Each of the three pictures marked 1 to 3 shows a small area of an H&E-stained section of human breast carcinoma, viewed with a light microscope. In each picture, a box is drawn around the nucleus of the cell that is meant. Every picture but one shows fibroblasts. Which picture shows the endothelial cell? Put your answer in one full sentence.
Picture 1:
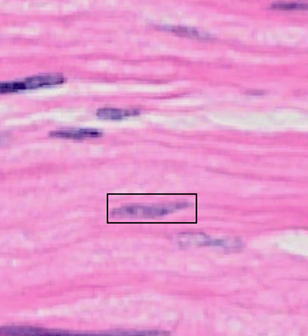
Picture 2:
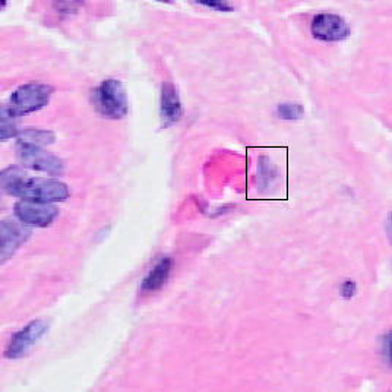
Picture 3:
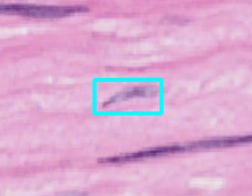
The endothelial cell is the one in picture 2.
